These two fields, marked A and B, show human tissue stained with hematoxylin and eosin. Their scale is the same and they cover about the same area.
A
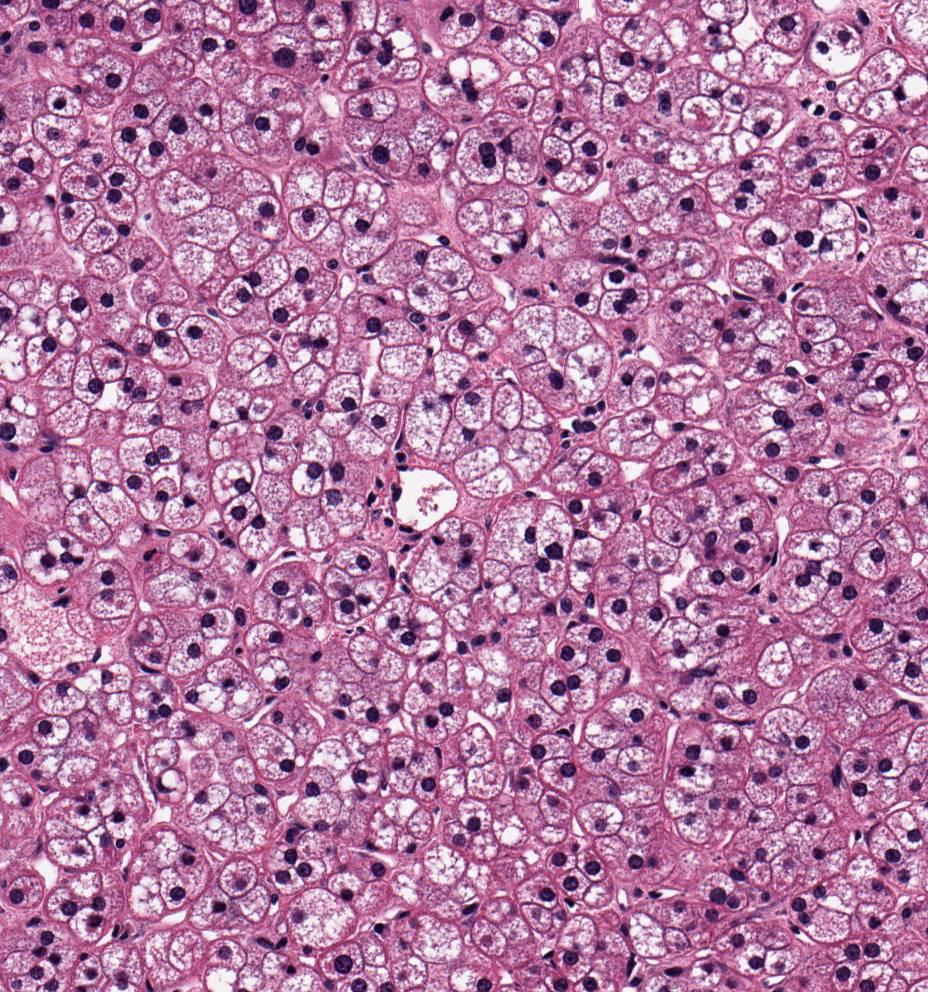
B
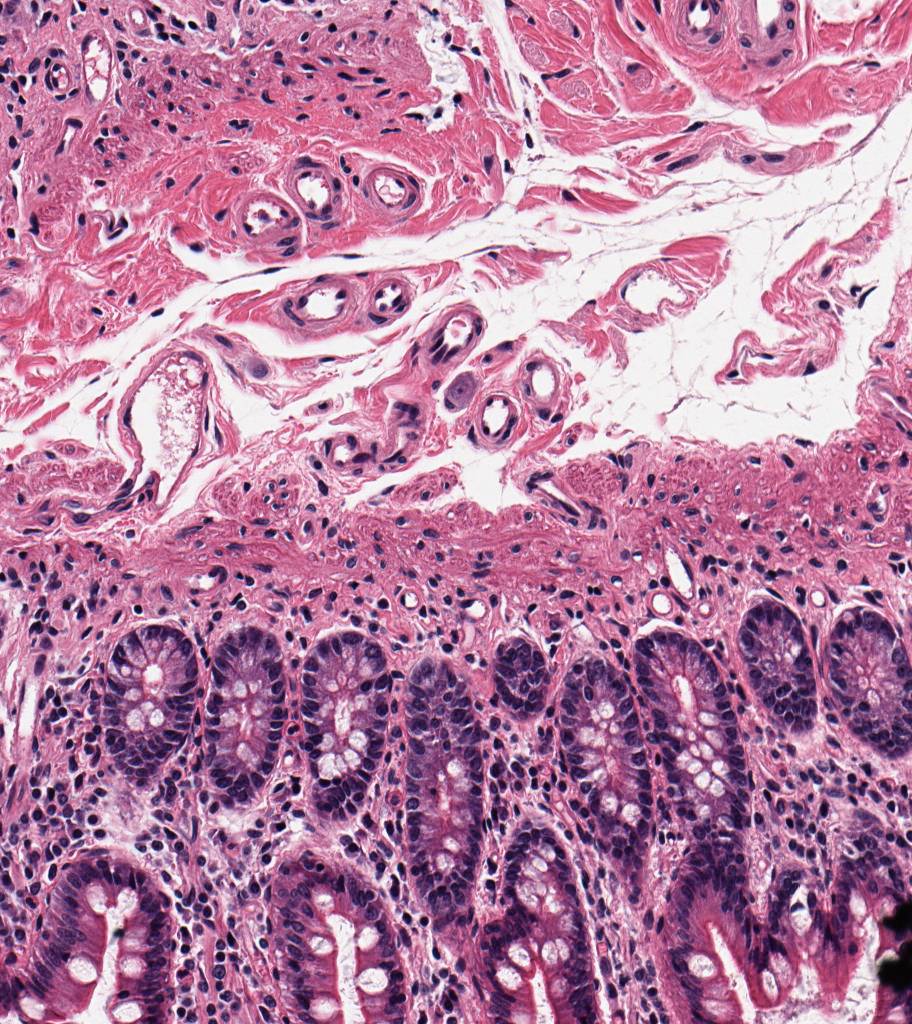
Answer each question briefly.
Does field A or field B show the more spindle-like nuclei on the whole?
B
